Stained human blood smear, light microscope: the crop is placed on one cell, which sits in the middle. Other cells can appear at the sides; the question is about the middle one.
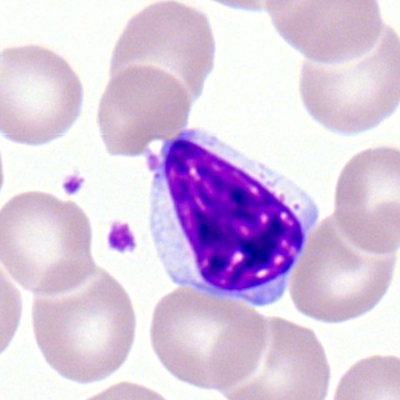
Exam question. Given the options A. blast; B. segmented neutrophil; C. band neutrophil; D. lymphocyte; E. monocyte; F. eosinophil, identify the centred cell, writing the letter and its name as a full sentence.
In the centre of the crop there is a lymphocyte, making option D correct.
